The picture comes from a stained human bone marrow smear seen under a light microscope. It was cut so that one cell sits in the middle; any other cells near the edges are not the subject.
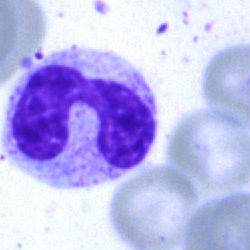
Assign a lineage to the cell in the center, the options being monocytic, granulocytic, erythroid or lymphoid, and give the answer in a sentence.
The cell occupying the center of the frame is part of the granulocytic lineage.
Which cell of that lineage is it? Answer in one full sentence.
Where the crop is centred, there is a band neutrophil.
